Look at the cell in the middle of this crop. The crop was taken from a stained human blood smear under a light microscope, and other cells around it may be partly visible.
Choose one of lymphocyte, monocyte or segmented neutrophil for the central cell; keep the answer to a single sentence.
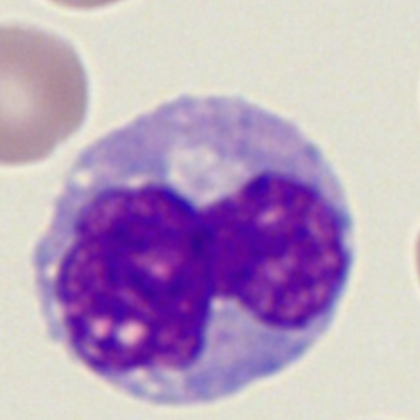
The central cell, amid any neighbouring cells, is a monocyte.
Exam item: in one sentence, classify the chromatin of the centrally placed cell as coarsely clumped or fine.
Take a look at the chromatin, which is coarsely clumped.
